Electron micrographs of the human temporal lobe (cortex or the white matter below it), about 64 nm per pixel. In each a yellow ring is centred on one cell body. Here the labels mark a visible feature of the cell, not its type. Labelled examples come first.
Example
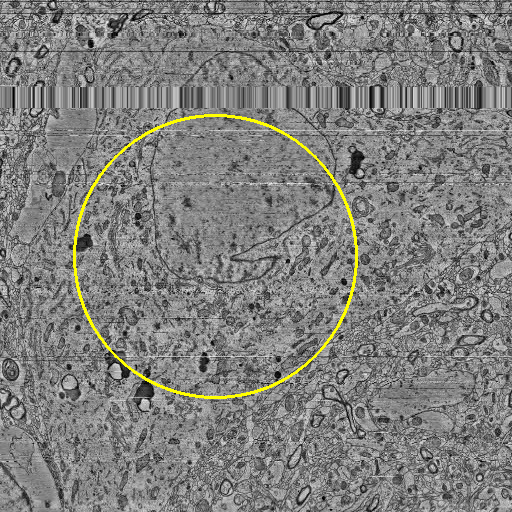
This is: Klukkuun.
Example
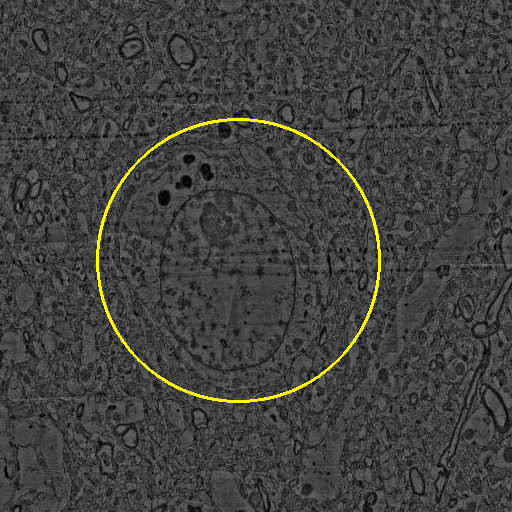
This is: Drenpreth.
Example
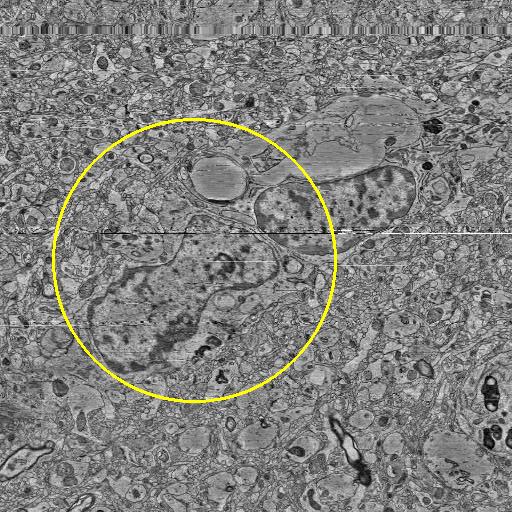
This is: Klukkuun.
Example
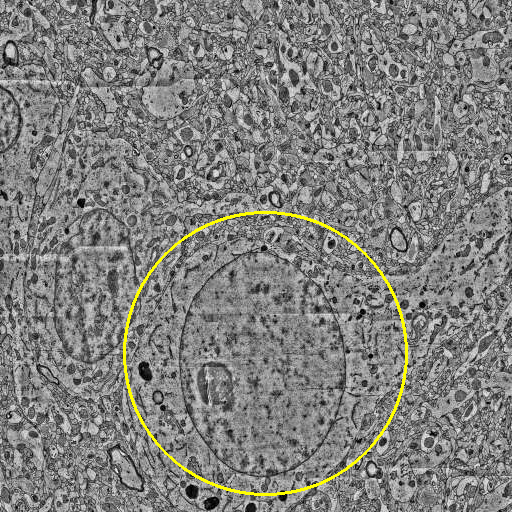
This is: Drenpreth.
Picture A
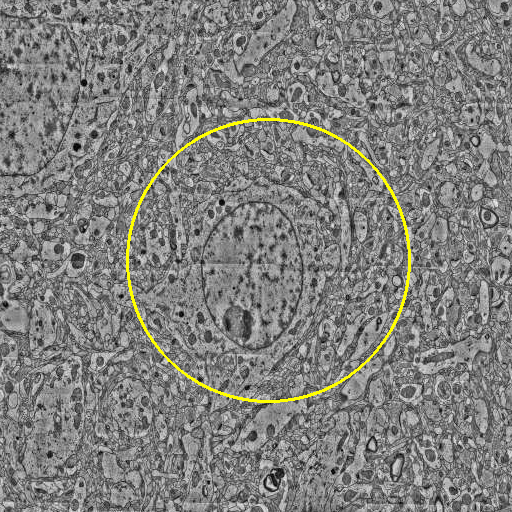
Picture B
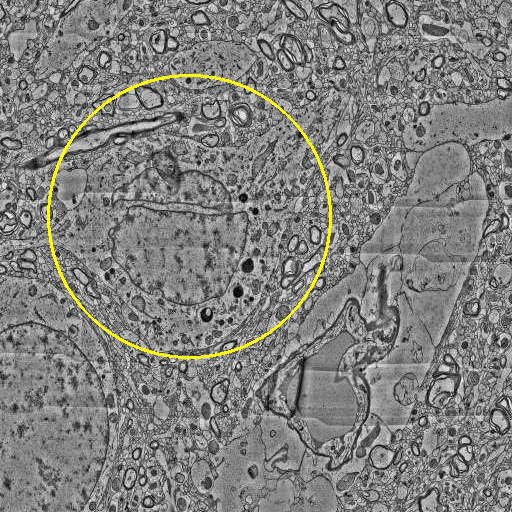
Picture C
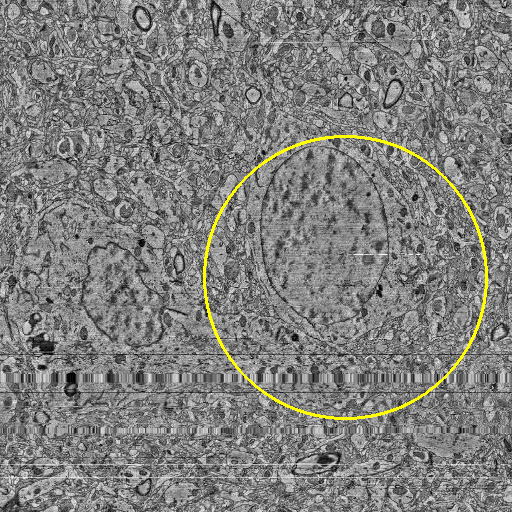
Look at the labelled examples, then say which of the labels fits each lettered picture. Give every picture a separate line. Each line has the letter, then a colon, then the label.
A: Drenpreth.
B: Klukkuun.
C: Drenpreth.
